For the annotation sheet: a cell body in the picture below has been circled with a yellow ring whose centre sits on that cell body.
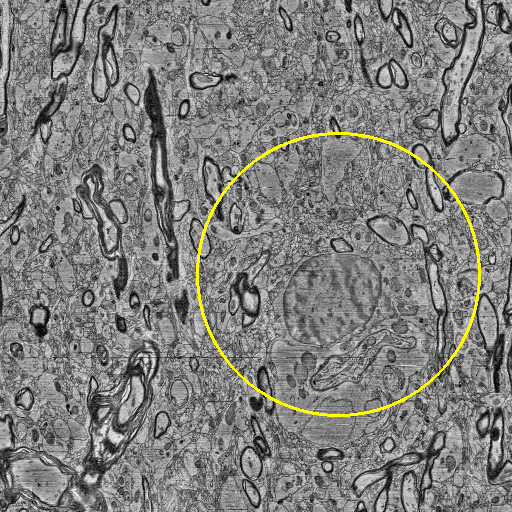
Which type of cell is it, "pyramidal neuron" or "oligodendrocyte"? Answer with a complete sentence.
The circled cell is an oligodendrocyte.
